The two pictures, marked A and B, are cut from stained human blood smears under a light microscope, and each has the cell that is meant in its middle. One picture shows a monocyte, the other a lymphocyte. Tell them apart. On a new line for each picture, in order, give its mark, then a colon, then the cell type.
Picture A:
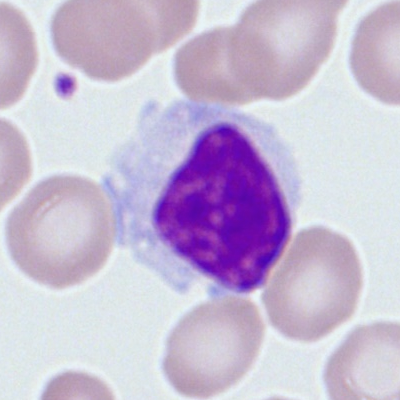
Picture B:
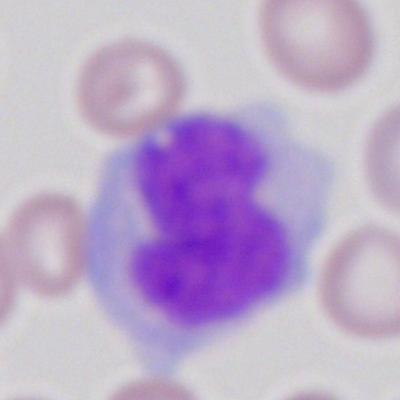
A: lymphocyte
B: monocyte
